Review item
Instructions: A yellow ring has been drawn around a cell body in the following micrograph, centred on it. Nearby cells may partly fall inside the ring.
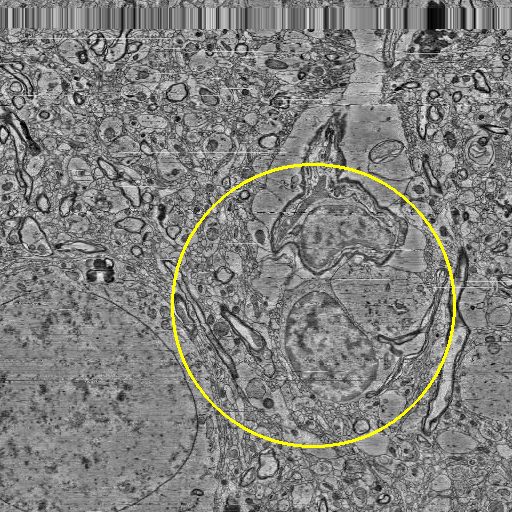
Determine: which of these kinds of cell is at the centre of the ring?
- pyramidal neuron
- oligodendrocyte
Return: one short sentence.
The cell body in the middle of the ring is that of an oligodendrocyte.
